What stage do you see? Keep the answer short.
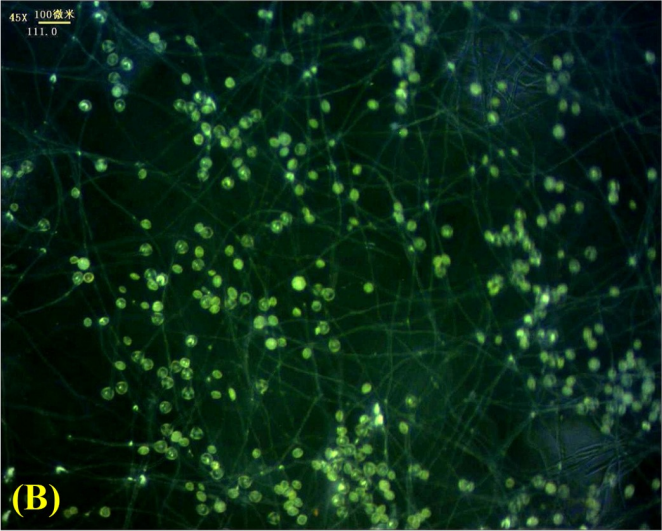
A: Pollen germination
